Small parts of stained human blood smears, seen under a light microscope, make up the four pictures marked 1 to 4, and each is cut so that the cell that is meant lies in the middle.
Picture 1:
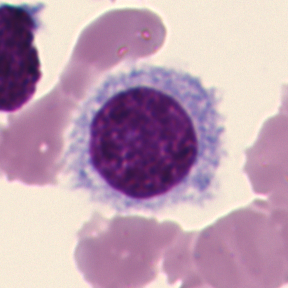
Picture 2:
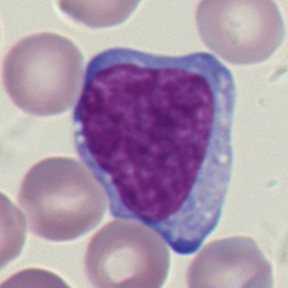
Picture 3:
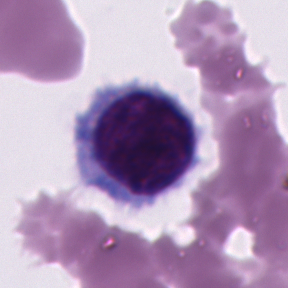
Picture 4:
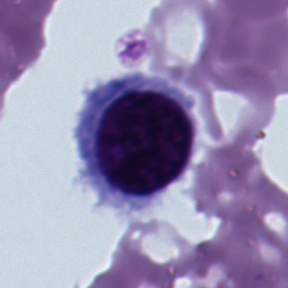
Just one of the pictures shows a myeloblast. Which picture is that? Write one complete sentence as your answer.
It is picture 2 that shows the myeloblast.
